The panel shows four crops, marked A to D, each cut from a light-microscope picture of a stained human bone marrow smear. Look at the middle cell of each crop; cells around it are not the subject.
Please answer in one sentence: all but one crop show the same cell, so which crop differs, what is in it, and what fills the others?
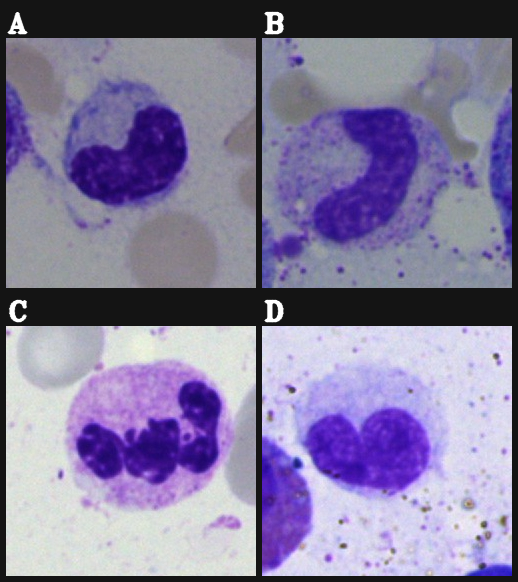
Just crop C is a segmented neutrophil; all the other crops show band neutrophils.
